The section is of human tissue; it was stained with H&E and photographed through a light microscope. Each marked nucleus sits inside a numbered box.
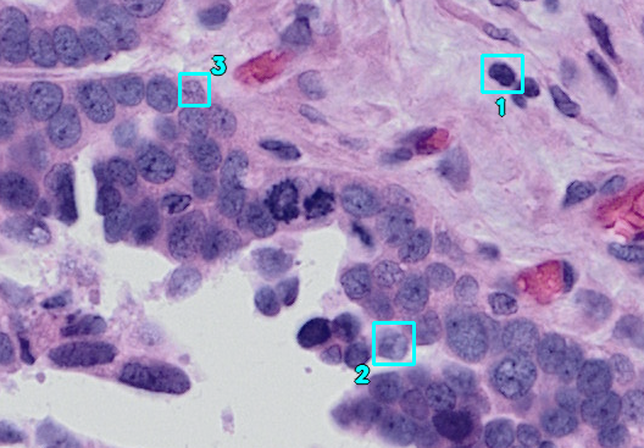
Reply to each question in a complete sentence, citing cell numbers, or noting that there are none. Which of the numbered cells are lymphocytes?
Of all the numbered cells, only one is a lymphocyte, and that is cell 1.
